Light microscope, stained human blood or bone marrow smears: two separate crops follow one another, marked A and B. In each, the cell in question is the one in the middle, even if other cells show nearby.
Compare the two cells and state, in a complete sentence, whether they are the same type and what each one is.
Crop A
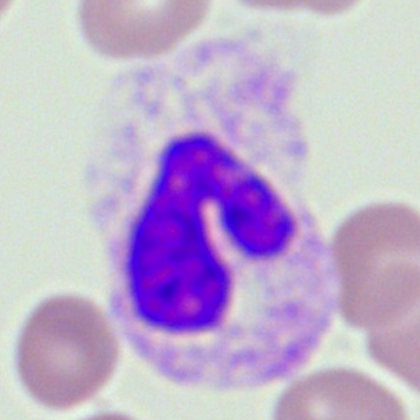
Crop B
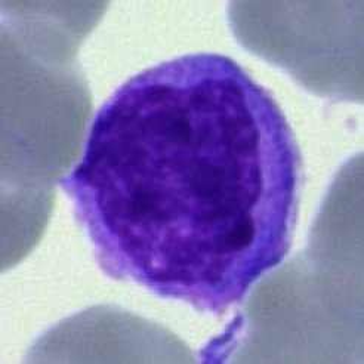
No, crop A is the one with a band neutrophil; crop B has a monocyte.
